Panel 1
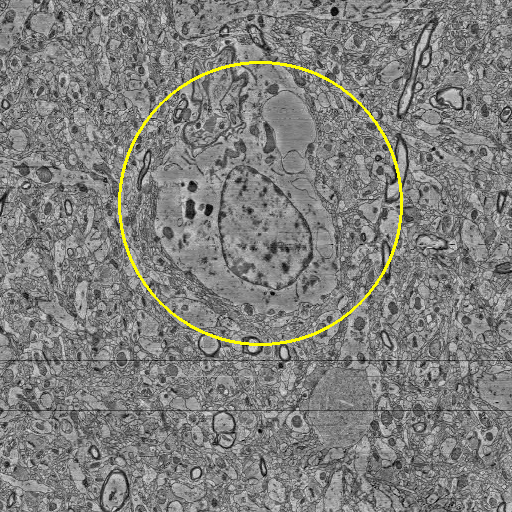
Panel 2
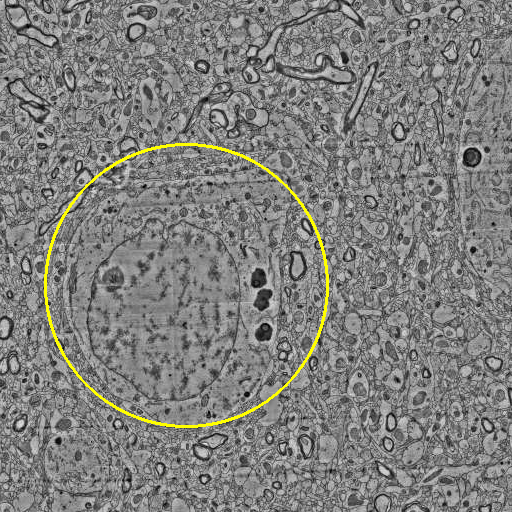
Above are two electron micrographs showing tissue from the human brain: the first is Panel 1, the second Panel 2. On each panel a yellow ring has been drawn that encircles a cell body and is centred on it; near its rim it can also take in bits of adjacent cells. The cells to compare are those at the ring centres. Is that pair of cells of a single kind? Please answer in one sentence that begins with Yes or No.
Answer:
No, the ring-centred cells of Panel 1 and Panel 2 belong to two kinds.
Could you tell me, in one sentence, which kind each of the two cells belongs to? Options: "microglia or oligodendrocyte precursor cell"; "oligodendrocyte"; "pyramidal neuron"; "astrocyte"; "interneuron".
At the centre of the first ring sits an astrocyte, and at the centre of the second sits a pyramidal neuron.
